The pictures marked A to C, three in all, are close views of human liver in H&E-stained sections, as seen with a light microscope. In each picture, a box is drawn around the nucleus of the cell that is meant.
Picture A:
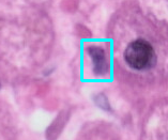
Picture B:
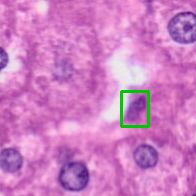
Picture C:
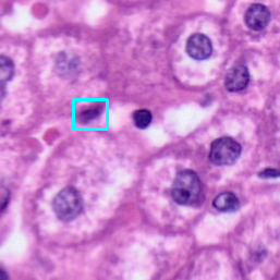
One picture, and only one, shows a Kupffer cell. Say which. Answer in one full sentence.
The Kupffer cell is the one in picture B.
